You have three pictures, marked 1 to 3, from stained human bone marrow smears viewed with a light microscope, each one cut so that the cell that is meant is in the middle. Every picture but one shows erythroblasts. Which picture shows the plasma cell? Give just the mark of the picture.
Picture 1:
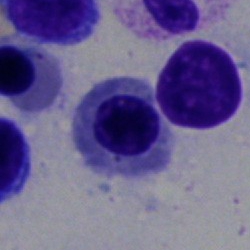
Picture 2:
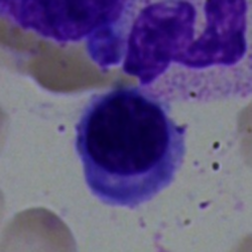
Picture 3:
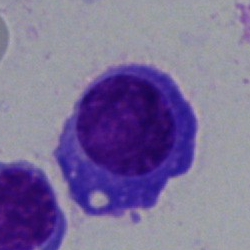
3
